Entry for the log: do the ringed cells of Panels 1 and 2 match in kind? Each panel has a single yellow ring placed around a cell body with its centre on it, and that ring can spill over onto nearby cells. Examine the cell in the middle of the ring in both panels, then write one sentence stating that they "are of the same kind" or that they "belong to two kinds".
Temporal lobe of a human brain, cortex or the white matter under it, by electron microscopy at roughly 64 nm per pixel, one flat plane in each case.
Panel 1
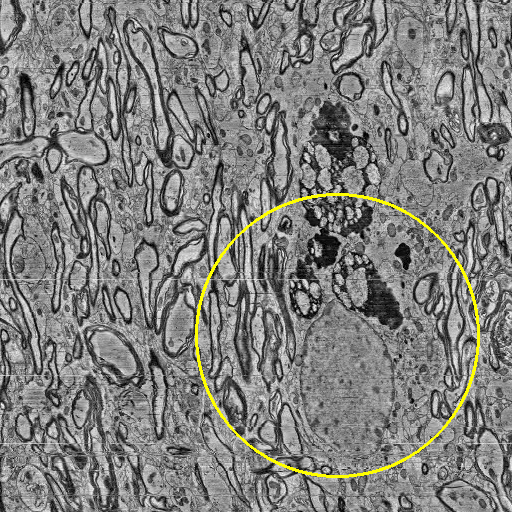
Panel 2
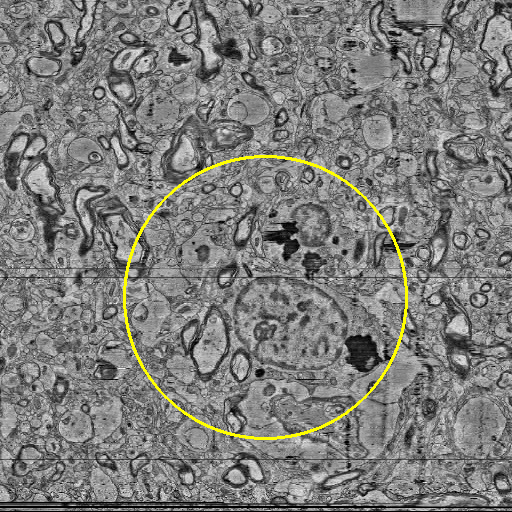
The centre cell of Panel 1's ring and that of Panel 2's ring belong to two kinds.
